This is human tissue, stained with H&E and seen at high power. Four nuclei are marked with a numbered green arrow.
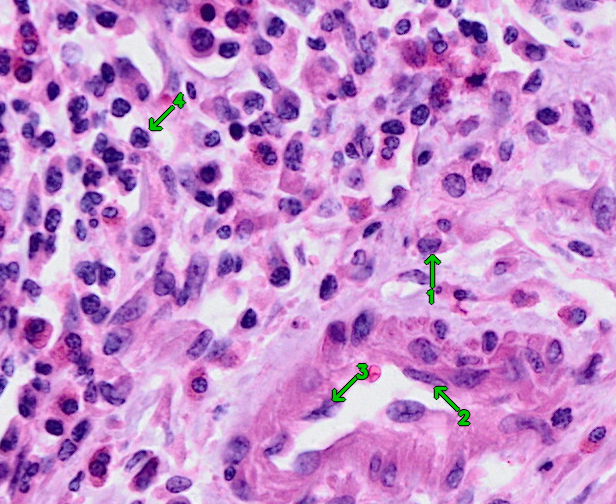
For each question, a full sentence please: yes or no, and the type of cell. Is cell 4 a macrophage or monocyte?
No, cell 4 is correctly identified as a lymphocyte and not as a macrophage or monocyte.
